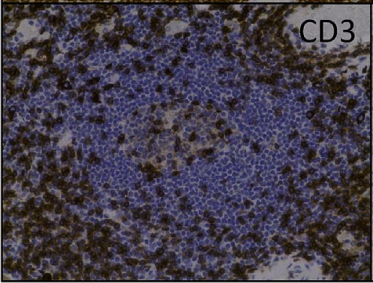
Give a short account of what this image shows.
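The brown cells are small and round and crowd densely at the periphery and in the surrounding tissue. The central nodule is made of tightly packed small cells with blue nuclei, with only scattered brown cells within it.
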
